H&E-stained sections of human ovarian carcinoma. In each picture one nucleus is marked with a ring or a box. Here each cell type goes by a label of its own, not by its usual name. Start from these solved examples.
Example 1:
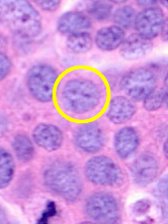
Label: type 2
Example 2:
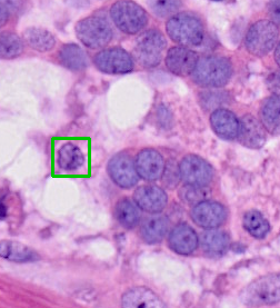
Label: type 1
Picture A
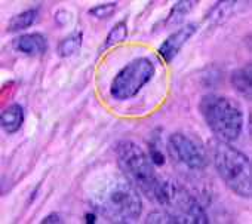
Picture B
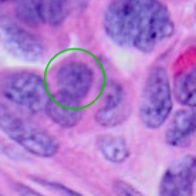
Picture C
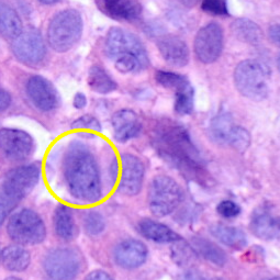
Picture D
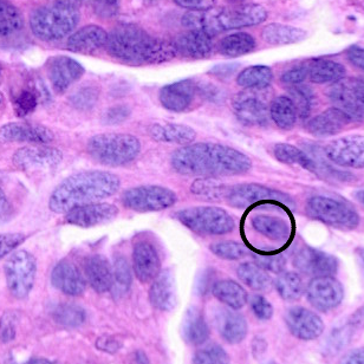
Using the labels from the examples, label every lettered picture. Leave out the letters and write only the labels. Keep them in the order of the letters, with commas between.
type 1, type 2, type 2, type 2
